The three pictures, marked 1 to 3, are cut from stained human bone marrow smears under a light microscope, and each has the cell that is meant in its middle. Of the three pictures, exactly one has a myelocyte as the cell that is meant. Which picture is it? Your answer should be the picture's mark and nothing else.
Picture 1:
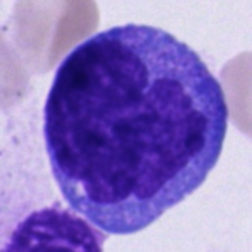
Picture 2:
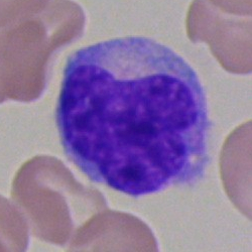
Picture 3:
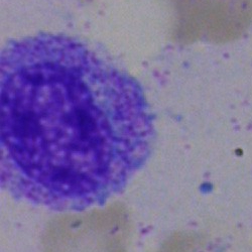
3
